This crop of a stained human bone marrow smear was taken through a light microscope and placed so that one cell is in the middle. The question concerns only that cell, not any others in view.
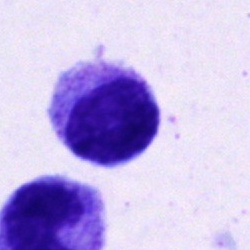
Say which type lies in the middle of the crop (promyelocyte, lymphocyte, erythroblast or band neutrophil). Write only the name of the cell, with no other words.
lymphocyte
